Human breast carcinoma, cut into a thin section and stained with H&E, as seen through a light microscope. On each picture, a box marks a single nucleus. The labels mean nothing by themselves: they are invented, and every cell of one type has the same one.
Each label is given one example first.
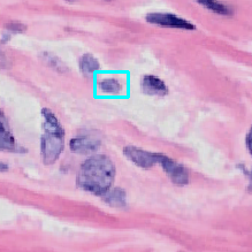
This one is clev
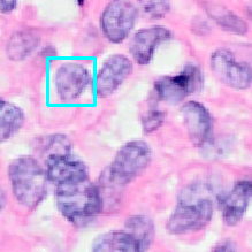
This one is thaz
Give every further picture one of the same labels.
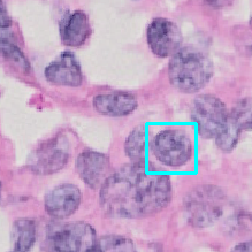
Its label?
thaz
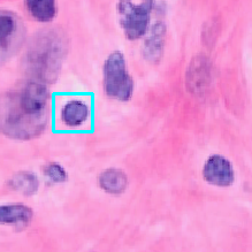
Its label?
clev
